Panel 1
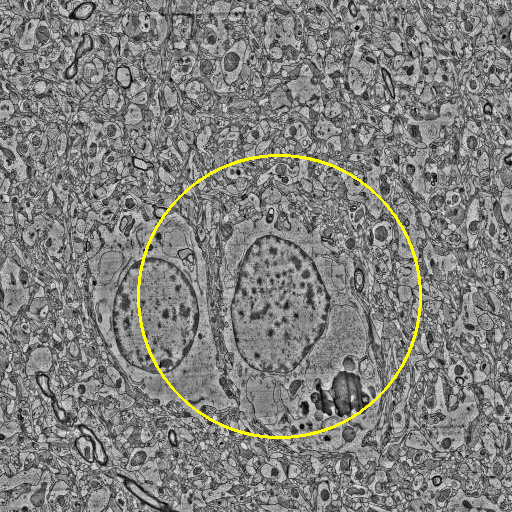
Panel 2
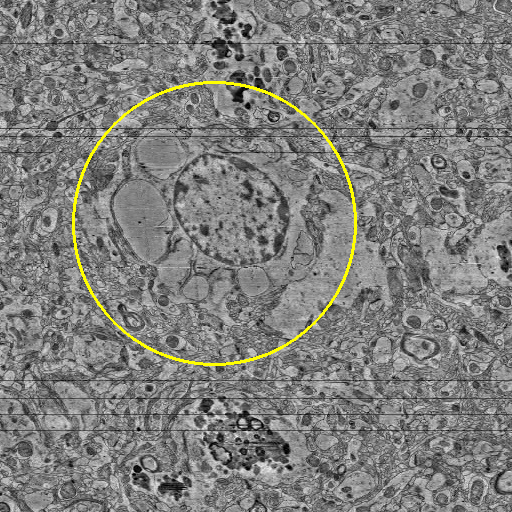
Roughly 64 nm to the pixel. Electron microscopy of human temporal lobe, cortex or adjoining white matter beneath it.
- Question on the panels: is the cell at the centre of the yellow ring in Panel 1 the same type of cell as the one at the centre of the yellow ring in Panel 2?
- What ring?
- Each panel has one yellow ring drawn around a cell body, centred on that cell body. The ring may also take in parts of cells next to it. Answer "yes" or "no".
yes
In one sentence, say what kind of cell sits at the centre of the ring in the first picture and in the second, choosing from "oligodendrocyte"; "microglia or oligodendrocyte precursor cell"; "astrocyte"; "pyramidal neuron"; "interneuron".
In the first picture and in the second, the ring is centred on an astrocyte.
